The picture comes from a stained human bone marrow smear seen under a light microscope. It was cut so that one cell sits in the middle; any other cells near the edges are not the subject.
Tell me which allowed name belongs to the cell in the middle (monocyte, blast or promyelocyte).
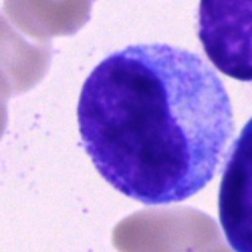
promyelocyte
